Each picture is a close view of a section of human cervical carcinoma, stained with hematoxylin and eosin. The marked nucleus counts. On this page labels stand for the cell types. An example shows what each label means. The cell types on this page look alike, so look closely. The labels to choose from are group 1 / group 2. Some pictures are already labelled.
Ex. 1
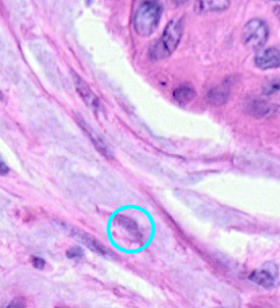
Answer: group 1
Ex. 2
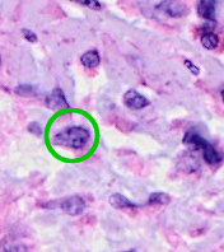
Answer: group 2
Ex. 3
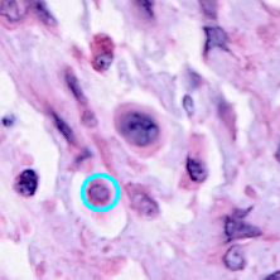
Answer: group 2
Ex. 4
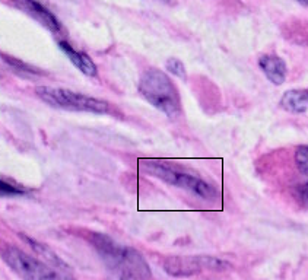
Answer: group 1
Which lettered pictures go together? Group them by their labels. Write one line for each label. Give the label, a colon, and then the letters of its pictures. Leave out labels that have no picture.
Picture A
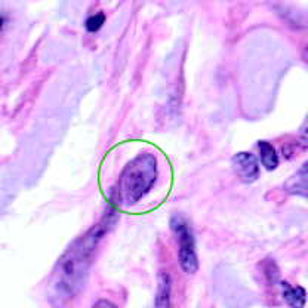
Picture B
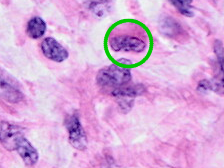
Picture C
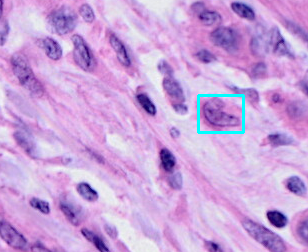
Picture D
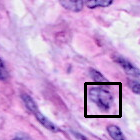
group 2: A, B, C, D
